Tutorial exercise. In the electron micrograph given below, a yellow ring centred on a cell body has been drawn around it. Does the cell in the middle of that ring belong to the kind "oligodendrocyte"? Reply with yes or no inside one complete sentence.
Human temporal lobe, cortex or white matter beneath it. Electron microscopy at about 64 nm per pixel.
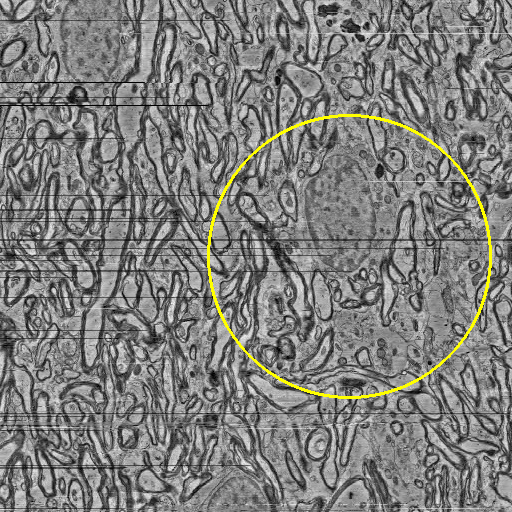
Yes, the cell at the centre of the ring in the picture is of that kind.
